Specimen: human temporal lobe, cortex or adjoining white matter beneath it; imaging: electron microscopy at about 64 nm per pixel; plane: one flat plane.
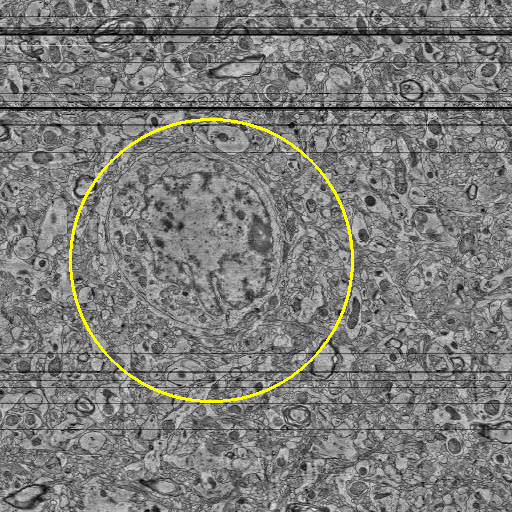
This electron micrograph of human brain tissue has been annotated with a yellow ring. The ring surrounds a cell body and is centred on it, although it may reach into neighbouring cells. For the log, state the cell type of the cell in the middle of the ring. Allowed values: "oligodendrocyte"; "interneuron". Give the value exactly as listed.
interneuron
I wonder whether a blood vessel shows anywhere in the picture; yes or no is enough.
No, a blood vessel is absent from this picture.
